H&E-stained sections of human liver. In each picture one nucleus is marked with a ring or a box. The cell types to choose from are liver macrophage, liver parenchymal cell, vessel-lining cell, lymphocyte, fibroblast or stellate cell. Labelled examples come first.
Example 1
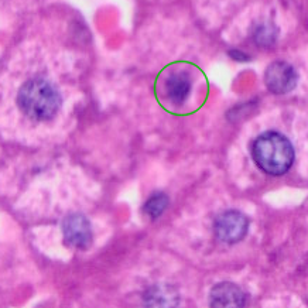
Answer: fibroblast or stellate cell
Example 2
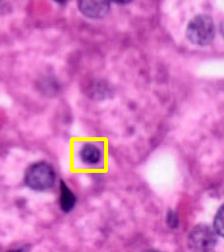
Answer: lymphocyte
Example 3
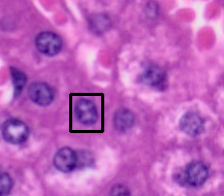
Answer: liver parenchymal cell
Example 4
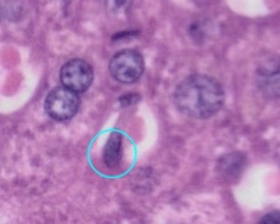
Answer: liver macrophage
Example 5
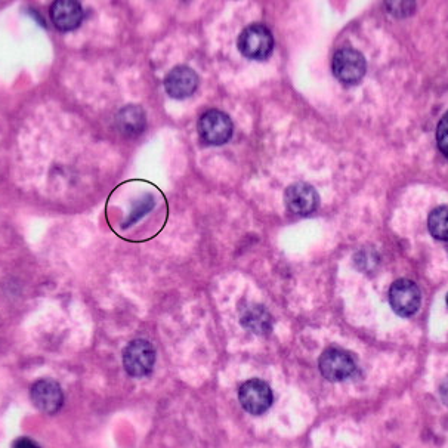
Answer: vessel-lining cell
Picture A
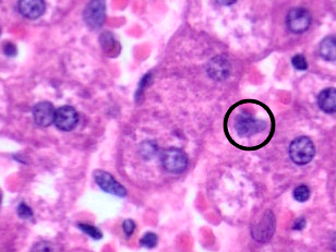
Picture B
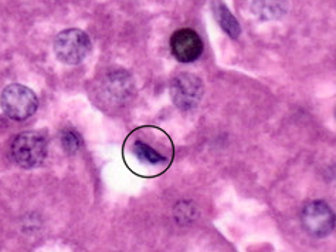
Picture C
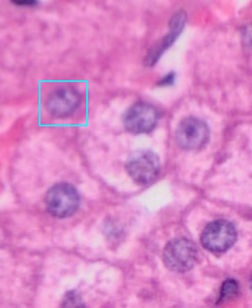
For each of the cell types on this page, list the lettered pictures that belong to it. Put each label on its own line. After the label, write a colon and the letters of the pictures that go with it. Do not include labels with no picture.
liver parenchymal cell: C
vessel-lining cell: A, B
